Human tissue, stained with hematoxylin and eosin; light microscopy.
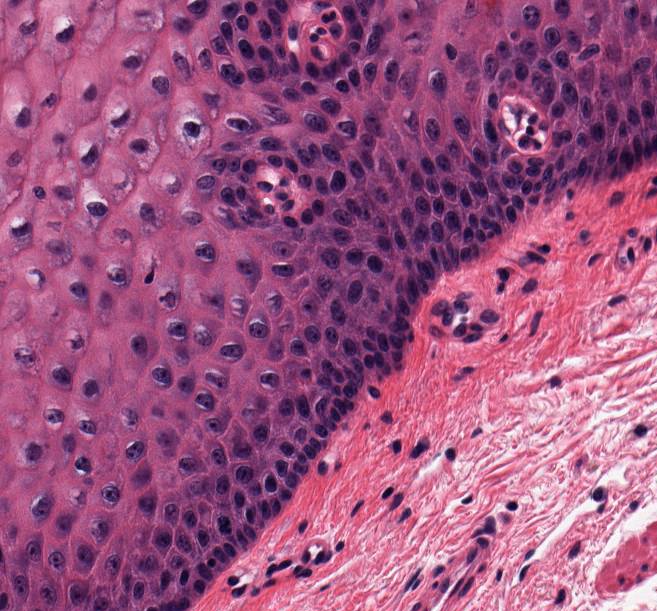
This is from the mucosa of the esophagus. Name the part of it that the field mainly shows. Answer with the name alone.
stratified squamous nonkeratinized epithelium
